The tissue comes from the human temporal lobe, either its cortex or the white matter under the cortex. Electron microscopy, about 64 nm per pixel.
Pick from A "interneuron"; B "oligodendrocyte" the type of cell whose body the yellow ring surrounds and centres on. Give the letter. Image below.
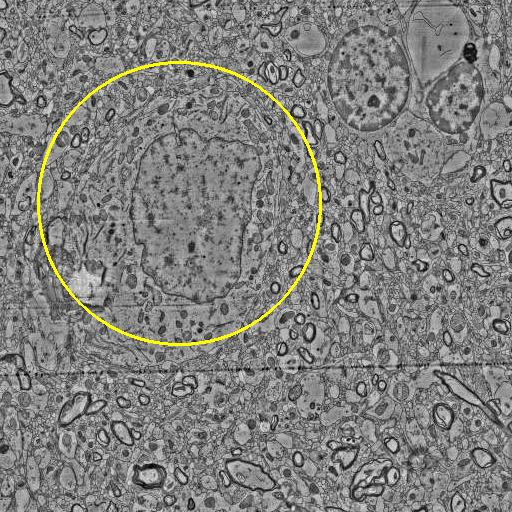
A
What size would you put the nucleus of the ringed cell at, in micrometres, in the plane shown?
In this plane, the nucleus of the cell at the centre of the ring measures about 11 by 9 micrometres.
